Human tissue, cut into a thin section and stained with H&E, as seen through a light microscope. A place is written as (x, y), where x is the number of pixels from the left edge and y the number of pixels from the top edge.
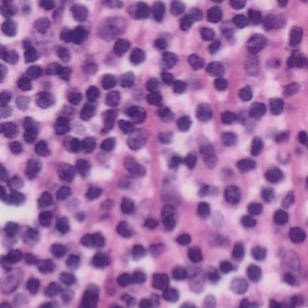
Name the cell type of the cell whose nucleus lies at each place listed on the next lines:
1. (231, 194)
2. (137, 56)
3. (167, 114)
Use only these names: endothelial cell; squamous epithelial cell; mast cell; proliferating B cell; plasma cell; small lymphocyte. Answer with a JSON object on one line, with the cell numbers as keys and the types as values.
{"1": "plasma cell", "2": "small lymphocyte", "3": "small lymphocyte"}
